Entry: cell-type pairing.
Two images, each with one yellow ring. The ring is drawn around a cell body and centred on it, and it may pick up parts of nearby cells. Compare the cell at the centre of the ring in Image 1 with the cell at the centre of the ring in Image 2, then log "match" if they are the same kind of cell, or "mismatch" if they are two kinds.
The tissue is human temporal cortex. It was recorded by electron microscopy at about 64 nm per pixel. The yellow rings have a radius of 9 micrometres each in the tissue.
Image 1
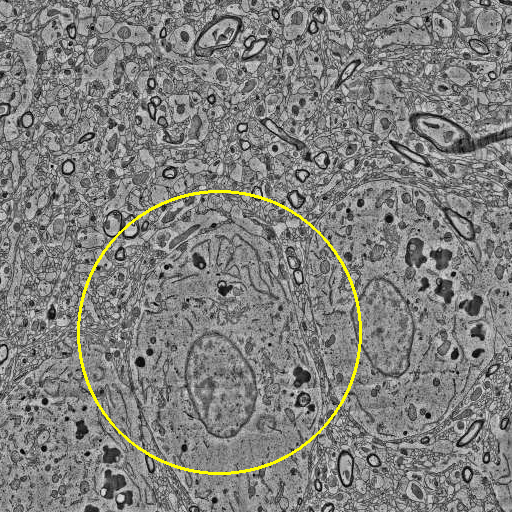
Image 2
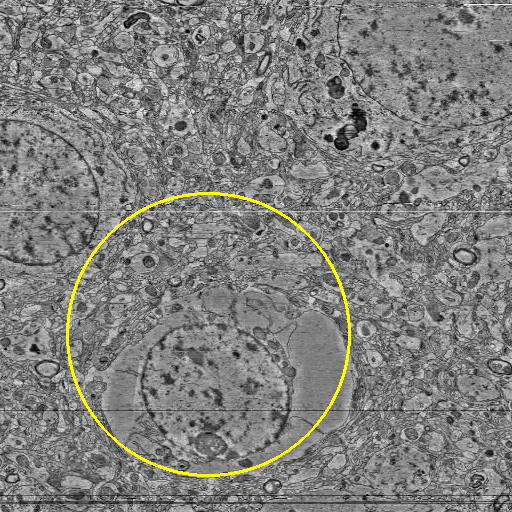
mismatch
